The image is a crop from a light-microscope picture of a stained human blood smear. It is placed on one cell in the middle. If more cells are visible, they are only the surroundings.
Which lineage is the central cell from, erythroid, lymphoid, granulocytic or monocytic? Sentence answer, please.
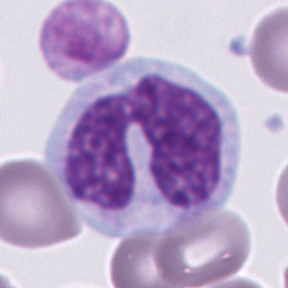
Lineage field for the centered cell should read monocytic.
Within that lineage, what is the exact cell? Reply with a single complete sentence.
The cell around which this crop is centred is a monocyte.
